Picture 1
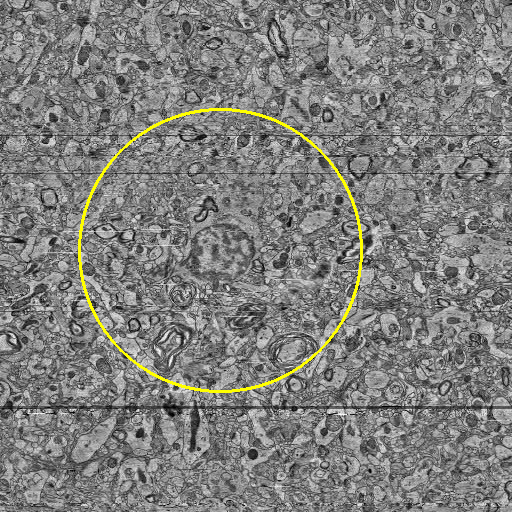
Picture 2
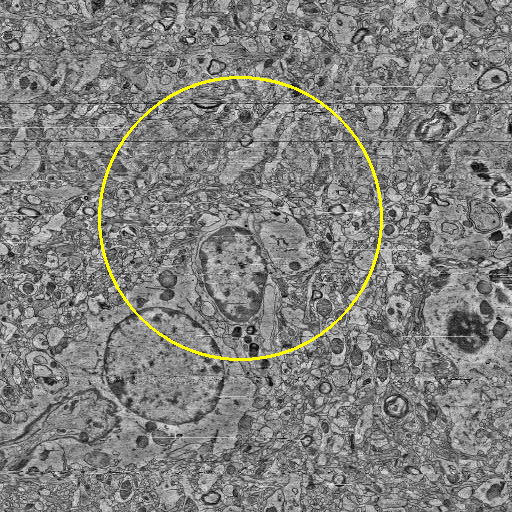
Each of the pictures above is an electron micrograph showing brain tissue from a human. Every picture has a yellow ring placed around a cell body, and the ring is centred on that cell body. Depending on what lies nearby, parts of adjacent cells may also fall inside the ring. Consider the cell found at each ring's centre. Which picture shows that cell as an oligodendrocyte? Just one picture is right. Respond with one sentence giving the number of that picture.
The picture showing the wanted cell at the ring's centre is number 1.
